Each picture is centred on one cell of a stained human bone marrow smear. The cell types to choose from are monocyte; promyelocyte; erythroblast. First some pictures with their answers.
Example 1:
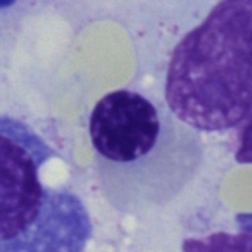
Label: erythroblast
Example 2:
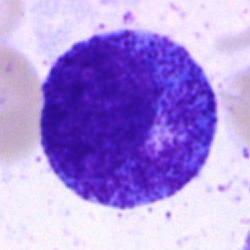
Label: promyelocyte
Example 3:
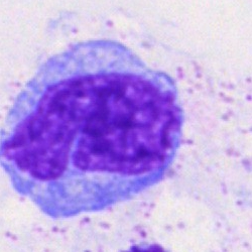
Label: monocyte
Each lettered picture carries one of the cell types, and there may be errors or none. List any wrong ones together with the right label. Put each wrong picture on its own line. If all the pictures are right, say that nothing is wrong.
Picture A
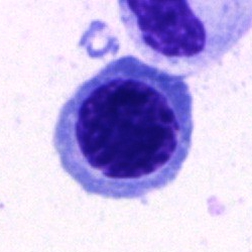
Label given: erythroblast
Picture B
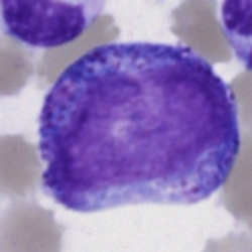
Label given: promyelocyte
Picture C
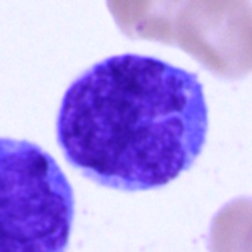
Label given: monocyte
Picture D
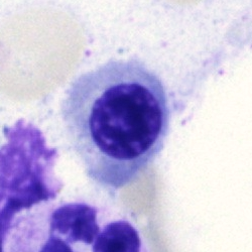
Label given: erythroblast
All correct.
